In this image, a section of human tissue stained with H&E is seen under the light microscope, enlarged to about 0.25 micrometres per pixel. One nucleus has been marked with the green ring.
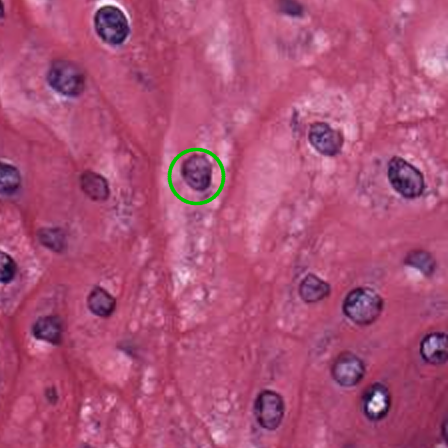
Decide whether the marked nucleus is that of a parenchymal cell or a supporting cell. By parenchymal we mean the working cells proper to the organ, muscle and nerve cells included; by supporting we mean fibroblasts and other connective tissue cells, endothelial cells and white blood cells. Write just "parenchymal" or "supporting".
parenchymal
